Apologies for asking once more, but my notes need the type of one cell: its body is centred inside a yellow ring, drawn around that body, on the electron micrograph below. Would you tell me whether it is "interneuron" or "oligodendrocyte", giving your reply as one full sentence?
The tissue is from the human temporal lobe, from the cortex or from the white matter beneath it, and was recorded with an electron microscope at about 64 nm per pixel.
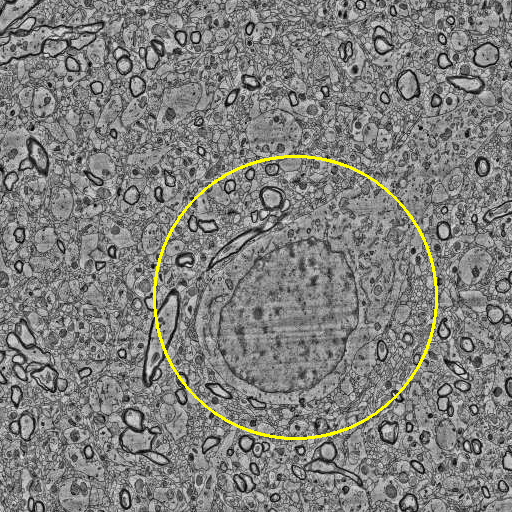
The cell that the yellow ring is centred on is an interneuron in this micrograph.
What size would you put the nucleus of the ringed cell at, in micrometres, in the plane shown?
Roughly 10 by 8 micrometres in this plane, for the nucleus of the ringed cell.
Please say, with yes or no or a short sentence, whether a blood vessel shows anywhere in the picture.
No, no blood vessel shows in the picture.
